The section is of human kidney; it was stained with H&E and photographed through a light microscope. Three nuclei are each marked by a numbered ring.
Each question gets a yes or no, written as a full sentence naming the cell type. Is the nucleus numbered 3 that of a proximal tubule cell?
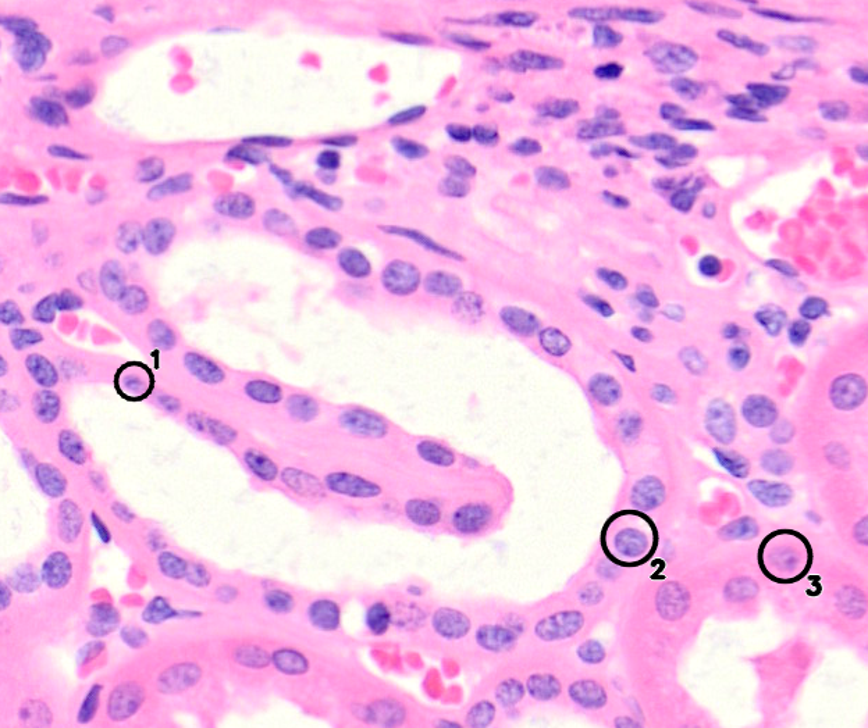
Yes, number 3 marks a cell that is a proximal tubule cell.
